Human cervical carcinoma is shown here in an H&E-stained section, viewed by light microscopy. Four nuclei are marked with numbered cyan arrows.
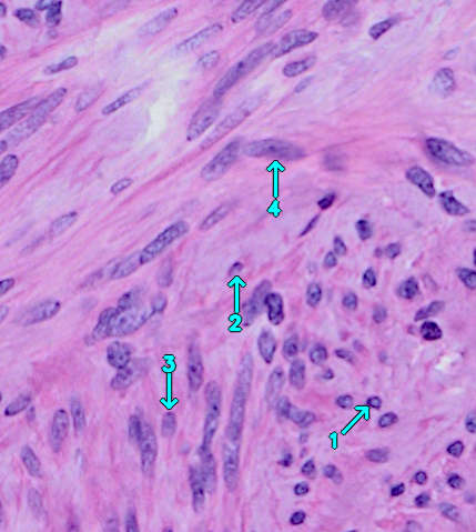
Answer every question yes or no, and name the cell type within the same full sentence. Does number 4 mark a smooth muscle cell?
No, the cell indicated by 4 is a fibroblast instead of a smooth muscle cell.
